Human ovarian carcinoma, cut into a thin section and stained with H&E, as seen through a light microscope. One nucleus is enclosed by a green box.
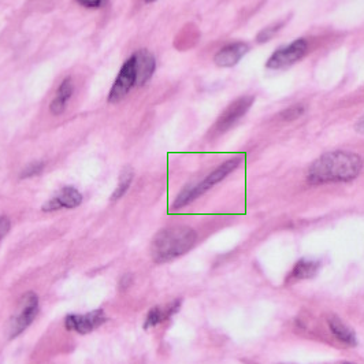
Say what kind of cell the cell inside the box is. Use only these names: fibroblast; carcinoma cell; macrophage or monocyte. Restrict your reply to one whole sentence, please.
At the level of cell identity, the cell inside the box is a fibroblast.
